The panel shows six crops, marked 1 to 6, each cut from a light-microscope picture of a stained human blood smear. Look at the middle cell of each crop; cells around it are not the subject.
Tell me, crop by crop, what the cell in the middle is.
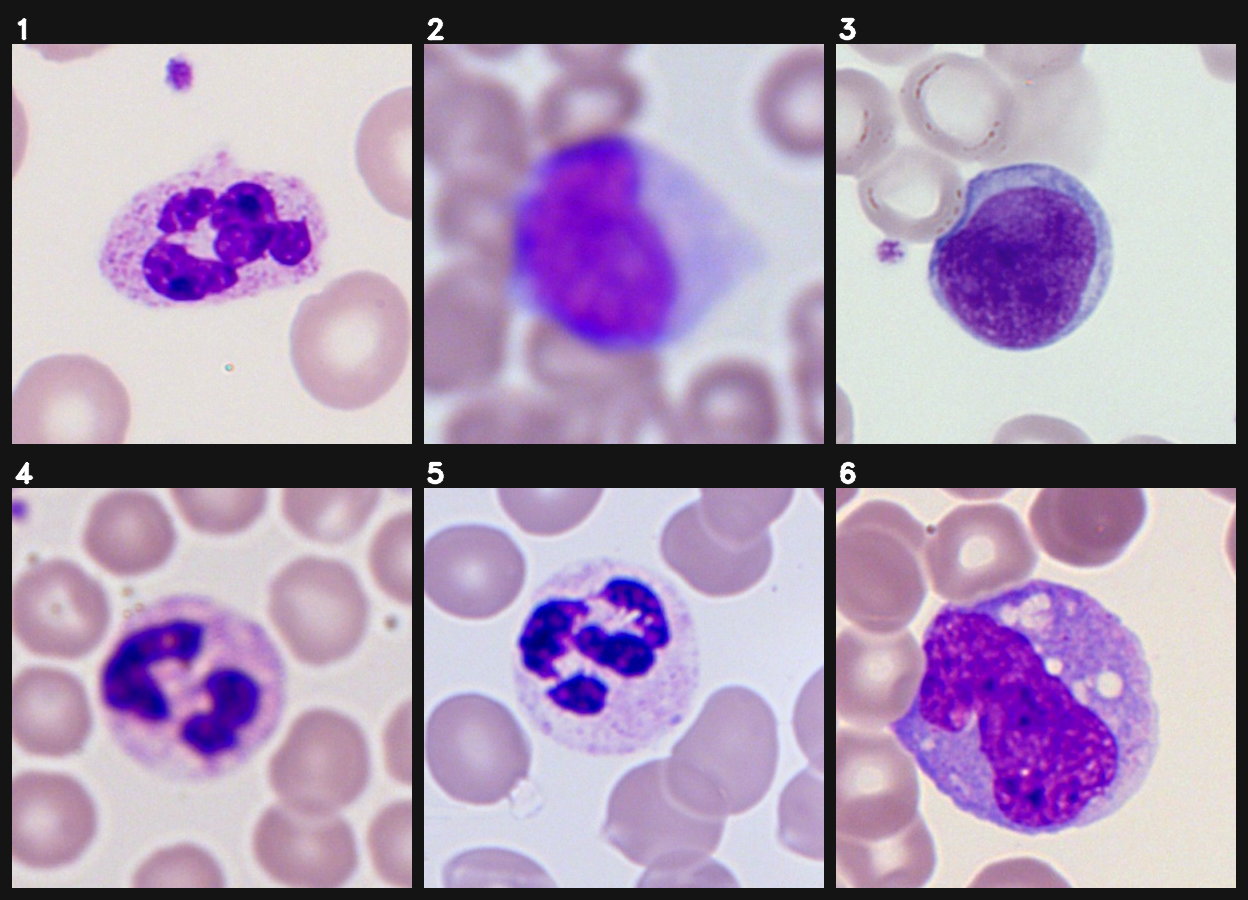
1: segmented neutrophil
2: monocyte
3: myeloblast
4: segmented neutrophil
5: segmented neutrophil
6: monocyte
